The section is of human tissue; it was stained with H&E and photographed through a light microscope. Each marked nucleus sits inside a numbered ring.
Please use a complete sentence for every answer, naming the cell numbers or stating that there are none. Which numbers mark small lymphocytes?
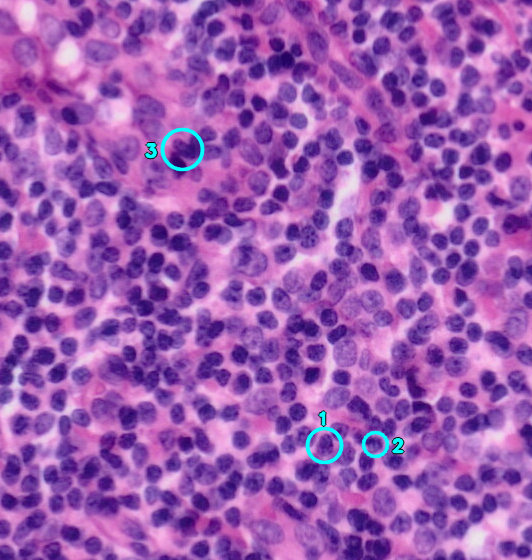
Regarding the numbered cells 1 and 2, these are small lymphocytes.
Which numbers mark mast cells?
Among the marked and numbered cells, mast cells do not occur.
